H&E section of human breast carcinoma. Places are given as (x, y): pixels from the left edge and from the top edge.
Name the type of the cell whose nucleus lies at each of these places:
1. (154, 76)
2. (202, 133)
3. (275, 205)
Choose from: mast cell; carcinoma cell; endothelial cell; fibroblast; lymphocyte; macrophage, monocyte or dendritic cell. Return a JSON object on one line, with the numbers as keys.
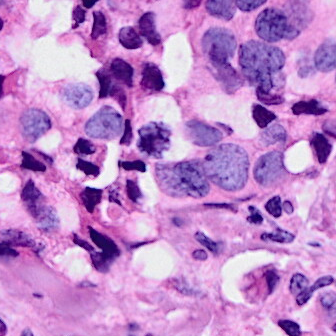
{"1": "carcinoma cell", "2": "carcinoma cell", "3": "lymphocyte"}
